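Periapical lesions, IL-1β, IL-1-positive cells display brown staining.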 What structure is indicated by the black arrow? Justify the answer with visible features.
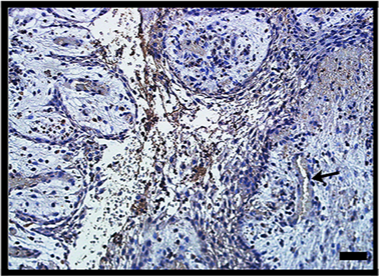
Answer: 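The arrow points to a narrow elongated channel lined by flat cells within the connective tissue.
Vascular endothelium.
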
